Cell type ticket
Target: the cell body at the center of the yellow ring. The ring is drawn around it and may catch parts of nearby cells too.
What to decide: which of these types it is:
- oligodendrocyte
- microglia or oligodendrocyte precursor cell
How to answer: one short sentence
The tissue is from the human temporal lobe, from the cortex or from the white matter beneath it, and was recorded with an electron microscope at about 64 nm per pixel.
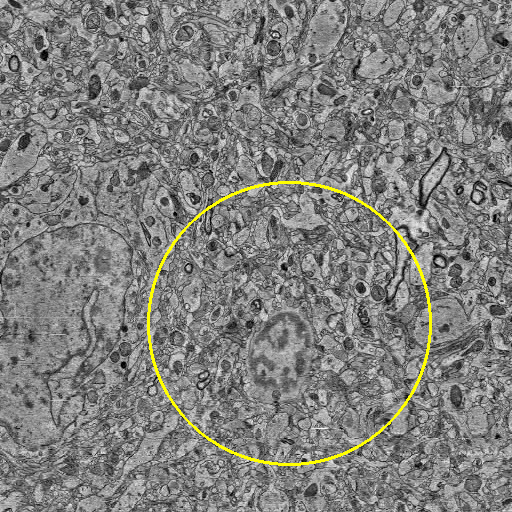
The cell at the center of the ring is an oligodendrocyte.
